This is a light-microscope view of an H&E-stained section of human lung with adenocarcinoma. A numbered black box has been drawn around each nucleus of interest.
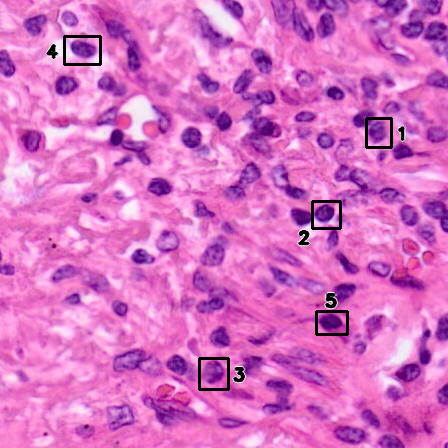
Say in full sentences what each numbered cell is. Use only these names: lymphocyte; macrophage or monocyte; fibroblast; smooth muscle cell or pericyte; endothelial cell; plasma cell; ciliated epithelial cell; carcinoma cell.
Cells 1, 2 and 4 are lymphocytes. Cells 3 and 5 are plasma cells.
